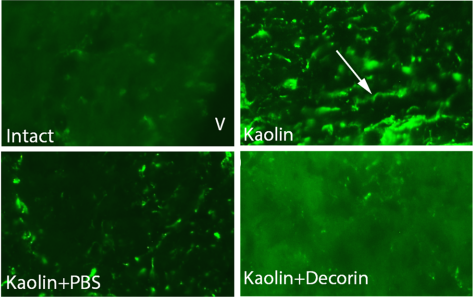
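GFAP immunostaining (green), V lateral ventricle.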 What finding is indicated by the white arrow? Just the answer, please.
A: thickening of astrocytic processes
